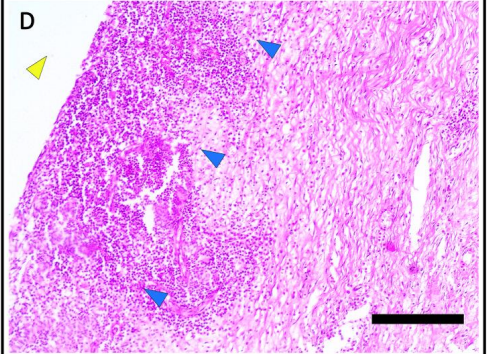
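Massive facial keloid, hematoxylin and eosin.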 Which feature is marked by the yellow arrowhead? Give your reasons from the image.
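Pus sinus cavities. The yellow arrowhead lies in an empty, unstained space at the corner. The space is bordered by a wall crowded with inflammatory cells.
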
